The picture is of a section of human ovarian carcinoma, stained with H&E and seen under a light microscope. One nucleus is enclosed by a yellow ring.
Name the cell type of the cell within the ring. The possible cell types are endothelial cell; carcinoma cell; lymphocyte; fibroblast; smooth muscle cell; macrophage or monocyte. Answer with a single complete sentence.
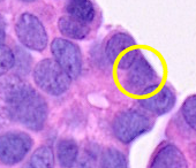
As classified here, the cell within the ring is a carcinoma cell.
